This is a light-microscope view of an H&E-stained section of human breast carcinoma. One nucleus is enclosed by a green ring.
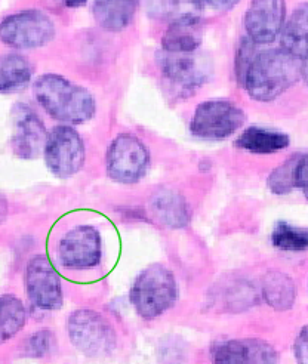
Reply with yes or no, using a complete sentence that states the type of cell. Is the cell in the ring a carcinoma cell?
Yes, the classification of the cell in the ring as a carcinoma cell is accurate.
